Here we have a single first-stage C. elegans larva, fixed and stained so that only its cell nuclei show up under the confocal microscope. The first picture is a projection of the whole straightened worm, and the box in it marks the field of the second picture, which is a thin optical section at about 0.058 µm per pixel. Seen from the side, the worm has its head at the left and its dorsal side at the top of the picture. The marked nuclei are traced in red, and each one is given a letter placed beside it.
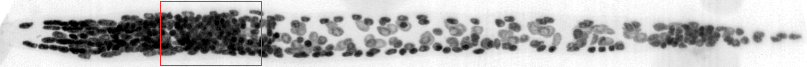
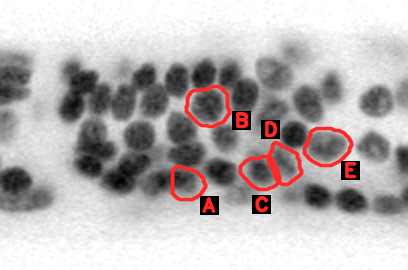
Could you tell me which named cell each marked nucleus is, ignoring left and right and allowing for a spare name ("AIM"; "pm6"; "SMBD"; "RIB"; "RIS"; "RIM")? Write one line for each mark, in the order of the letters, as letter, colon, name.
A: SMBD
B: RIM
C: AIM
D: RIS
E: pm6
